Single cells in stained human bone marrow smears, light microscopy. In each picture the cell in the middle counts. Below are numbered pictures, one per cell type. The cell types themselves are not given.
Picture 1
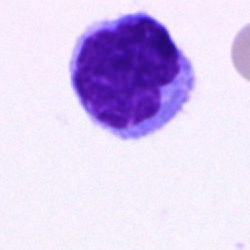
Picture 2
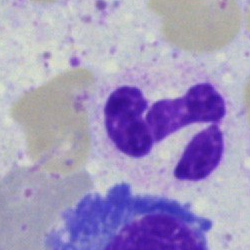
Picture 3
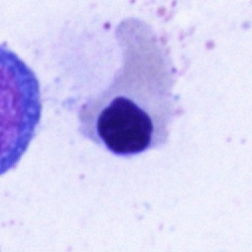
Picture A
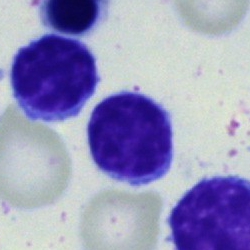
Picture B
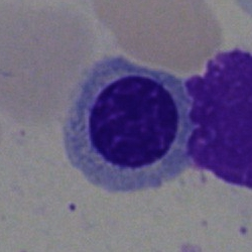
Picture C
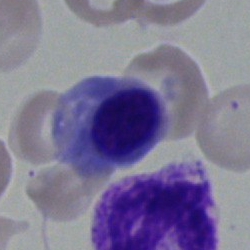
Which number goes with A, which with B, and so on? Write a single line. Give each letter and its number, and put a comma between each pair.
A 1, B 3, C 3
